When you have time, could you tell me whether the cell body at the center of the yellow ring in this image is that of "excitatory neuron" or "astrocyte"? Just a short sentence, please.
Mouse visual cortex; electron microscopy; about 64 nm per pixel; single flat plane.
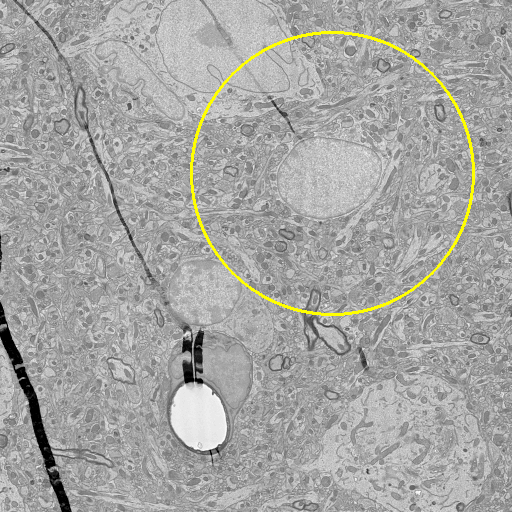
The cell body at the center of the ring is that of an astrocyte.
